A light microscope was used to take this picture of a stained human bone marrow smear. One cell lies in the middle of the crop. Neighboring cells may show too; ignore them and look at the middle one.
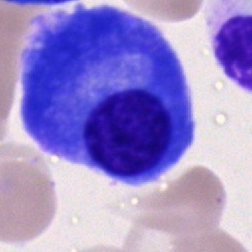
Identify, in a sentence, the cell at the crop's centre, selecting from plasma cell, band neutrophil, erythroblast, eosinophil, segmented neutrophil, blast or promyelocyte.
The crop centres on a single cell, and that cell is a plasma cell.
